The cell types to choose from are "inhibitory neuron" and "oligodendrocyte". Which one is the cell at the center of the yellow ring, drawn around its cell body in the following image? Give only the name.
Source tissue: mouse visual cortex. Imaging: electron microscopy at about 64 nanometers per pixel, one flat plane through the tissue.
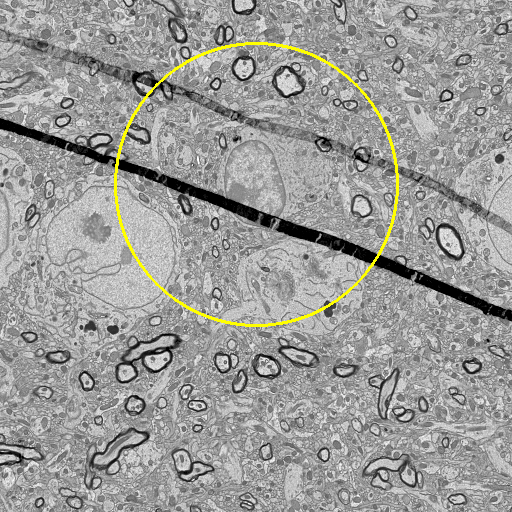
oligodendrocyte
